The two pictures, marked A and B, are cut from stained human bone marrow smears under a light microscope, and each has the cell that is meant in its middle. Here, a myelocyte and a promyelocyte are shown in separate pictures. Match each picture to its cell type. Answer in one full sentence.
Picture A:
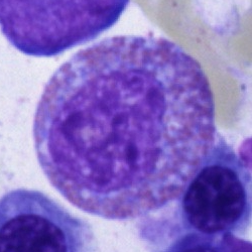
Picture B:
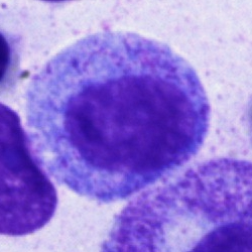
It is picture A that shows a myelocyte, and picture B that shows a promyelocyte.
